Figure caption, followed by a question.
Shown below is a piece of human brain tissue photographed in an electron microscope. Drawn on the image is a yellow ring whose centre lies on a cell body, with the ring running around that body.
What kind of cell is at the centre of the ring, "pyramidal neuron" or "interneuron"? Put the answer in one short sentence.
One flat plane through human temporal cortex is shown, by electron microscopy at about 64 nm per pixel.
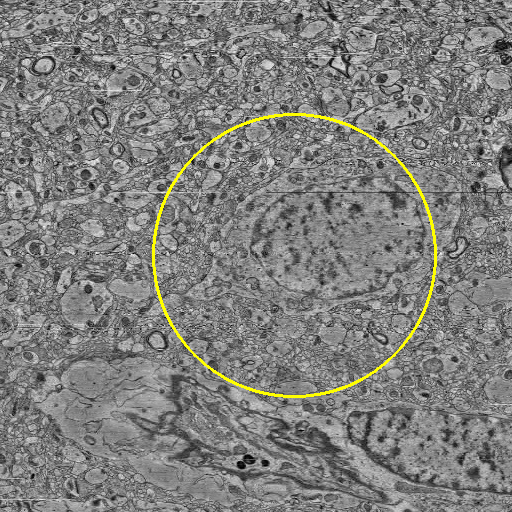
The ring marks the cell body of an interneuron.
